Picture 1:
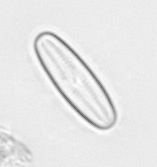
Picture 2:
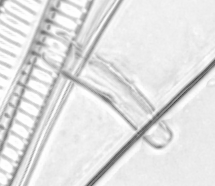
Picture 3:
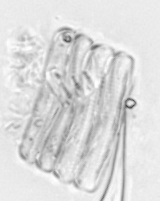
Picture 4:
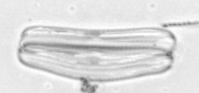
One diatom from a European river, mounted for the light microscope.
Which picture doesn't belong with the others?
Picture 1.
